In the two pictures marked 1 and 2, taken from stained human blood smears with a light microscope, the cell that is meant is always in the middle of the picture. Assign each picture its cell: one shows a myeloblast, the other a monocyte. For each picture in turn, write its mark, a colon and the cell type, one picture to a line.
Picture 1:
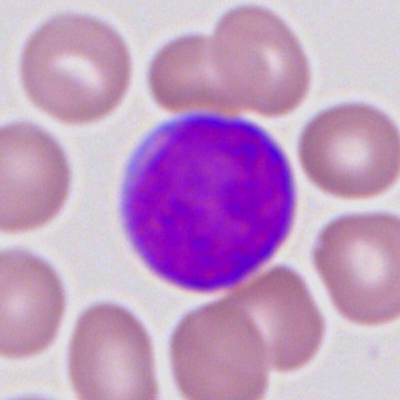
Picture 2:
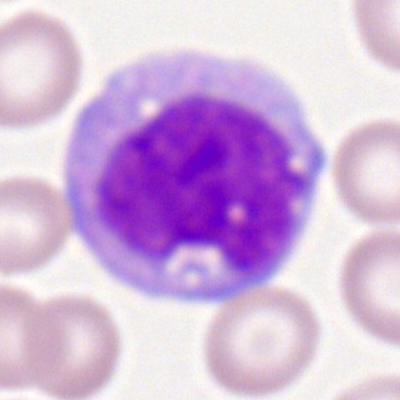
1: myeloblast
2: monocyte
